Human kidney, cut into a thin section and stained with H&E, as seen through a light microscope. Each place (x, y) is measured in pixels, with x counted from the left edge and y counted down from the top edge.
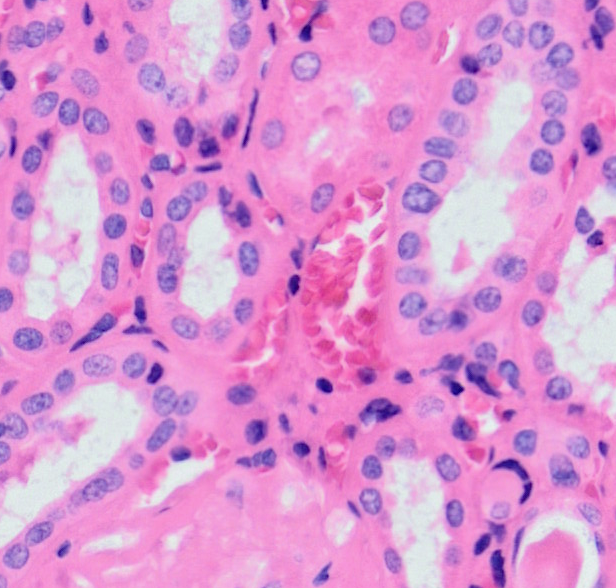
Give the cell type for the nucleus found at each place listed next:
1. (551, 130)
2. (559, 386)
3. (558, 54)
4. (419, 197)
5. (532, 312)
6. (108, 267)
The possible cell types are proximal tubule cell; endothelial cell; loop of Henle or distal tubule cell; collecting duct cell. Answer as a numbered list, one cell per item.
1. collecting duct cell
2. loop of Henle or distal tubule cell
3. collecting duct cell
4. collecting duct cell
5. loop of Henle or distal tubule cell
6. collecting duct cell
